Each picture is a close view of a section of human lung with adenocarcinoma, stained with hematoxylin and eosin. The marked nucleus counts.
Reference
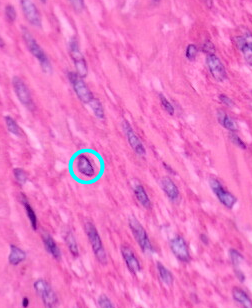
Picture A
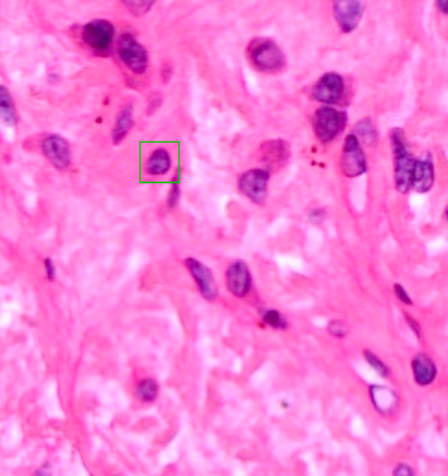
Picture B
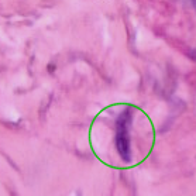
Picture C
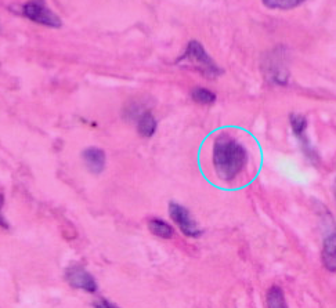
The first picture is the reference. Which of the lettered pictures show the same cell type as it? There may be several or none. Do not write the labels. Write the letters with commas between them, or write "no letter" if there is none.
A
